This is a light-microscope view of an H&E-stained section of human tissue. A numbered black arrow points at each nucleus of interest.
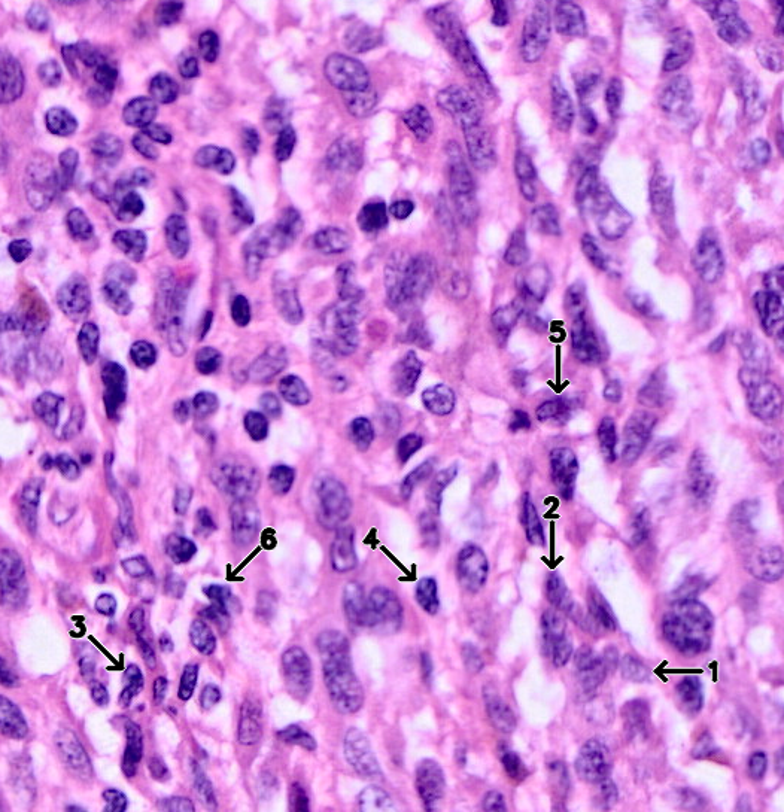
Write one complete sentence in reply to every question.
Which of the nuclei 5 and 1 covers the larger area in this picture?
Number 5 is larger; its area is about 1.5 times that of number 1.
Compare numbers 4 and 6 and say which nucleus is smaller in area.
Nucleus 6 covers less area, with nucleus 4 about 1.5 times as large.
